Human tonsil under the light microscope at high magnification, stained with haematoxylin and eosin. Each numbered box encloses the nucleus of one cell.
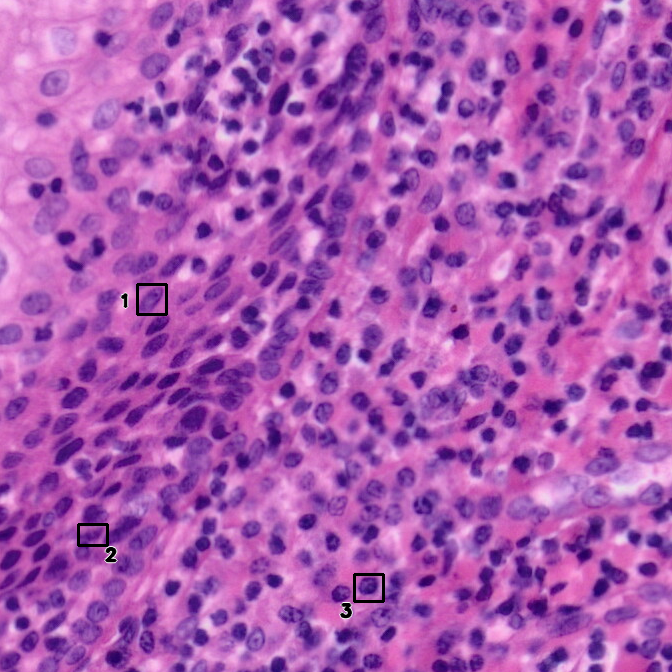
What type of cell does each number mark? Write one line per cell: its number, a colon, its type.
1: squamous epithelial cell
2: squamous epithelial cell
3: plasma cell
